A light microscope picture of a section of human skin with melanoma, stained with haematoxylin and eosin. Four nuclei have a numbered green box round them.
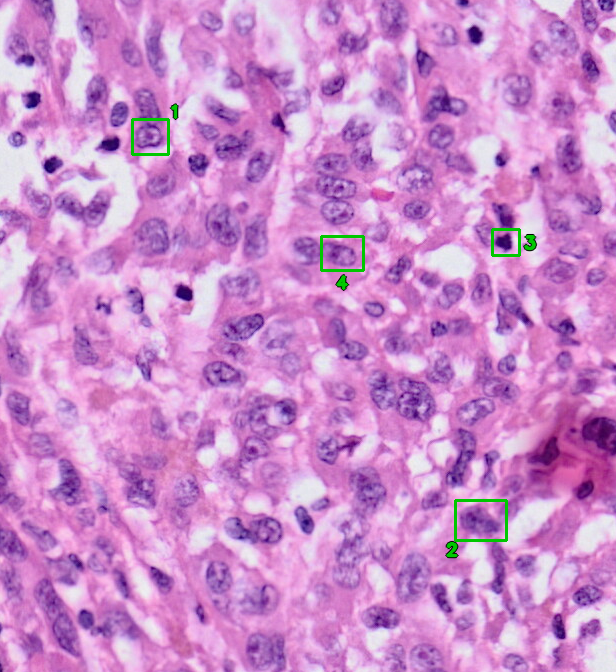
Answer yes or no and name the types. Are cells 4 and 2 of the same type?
Yes, both are melanoma cells.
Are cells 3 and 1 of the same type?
No, cell 3 is a lymphocyte and cell 1 is a melanoma cell.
